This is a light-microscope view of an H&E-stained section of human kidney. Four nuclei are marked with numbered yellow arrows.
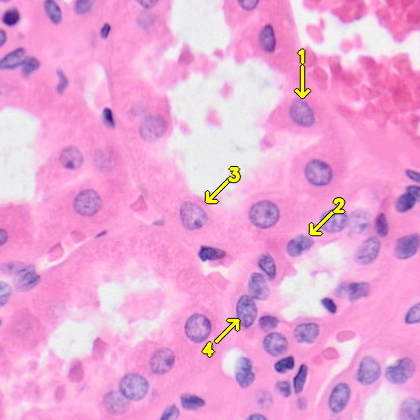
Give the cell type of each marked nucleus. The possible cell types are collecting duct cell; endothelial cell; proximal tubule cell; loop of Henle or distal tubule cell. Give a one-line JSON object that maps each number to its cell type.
{"1": "proximal tubule cell", "2": "collecting duct cell", "3": "proximal tubule cell", "4": "collecting duct cell"}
